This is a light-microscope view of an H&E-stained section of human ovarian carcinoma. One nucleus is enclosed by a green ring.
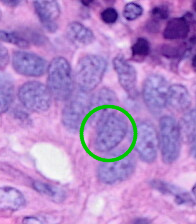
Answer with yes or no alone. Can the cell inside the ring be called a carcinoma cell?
yes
